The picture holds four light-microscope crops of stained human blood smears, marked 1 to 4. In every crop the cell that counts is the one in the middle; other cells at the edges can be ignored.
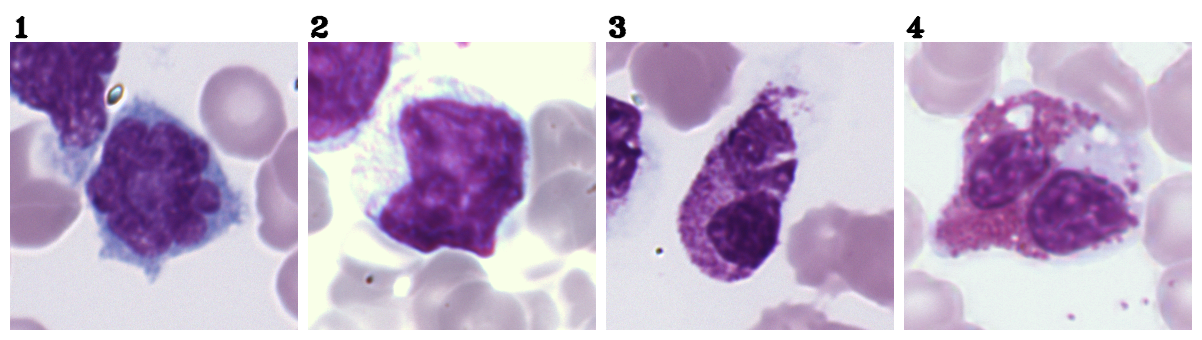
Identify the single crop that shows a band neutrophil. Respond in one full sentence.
The cell identified as a band neutrophil is the one in crop 2.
